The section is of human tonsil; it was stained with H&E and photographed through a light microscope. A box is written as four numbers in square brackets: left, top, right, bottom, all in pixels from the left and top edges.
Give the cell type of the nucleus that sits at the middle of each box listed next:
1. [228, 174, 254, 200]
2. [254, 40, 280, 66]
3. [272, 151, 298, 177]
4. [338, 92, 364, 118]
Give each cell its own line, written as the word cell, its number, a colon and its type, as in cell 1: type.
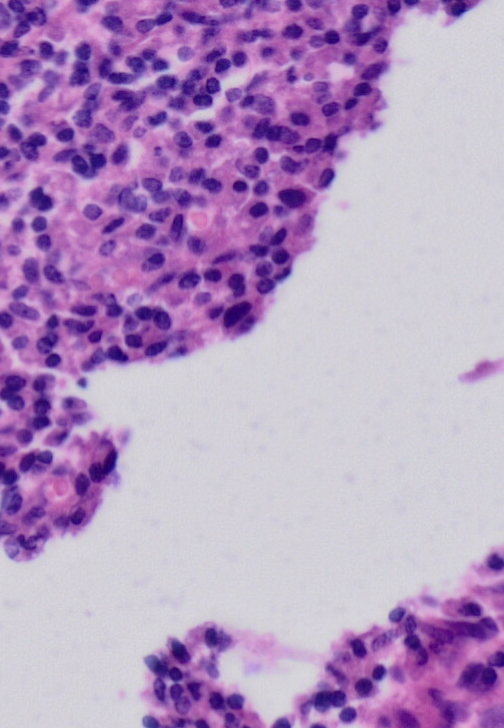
cell 1: plasma cell
cell 2: plasma cell
cell 3: squamous epithelial cell
cell 4: plasma cell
